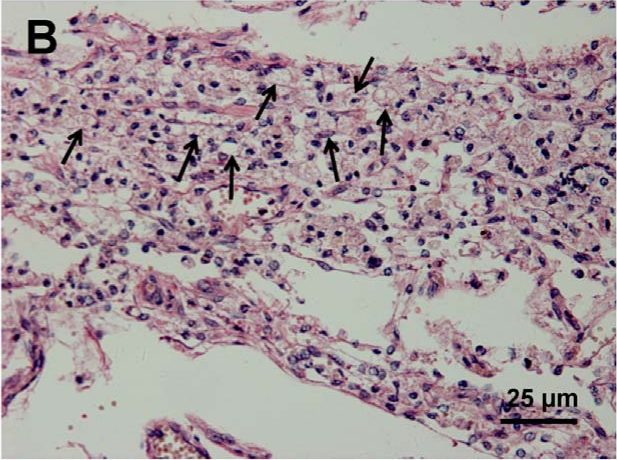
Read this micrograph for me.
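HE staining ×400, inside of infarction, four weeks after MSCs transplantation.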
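Many rounded macrophages with pale, foamy pink cytoplasm and small round dark nuclei crowd the strands, mixed with other small dark nuclei and a few red blood cells. No intact neurons are left among them.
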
